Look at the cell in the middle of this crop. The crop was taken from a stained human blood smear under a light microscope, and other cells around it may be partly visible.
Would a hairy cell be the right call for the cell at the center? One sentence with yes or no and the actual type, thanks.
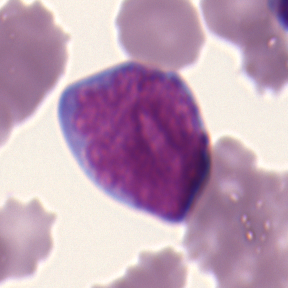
No, the cell placed in the centre is a blast and is not a hairy cell.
